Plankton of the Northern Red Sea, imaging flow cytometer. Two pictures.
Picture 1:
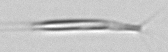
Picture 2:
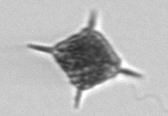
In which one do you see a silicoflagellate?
In picture 2.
